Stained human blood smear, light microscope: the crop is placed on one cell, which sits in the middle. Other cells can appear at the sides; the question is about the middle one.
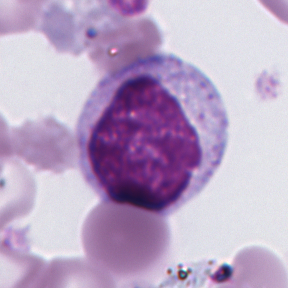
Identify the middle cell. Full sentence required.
The cell at the centre of the field is a myelocyte.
